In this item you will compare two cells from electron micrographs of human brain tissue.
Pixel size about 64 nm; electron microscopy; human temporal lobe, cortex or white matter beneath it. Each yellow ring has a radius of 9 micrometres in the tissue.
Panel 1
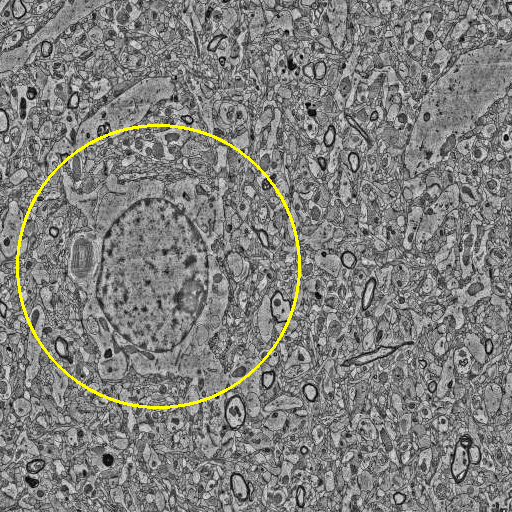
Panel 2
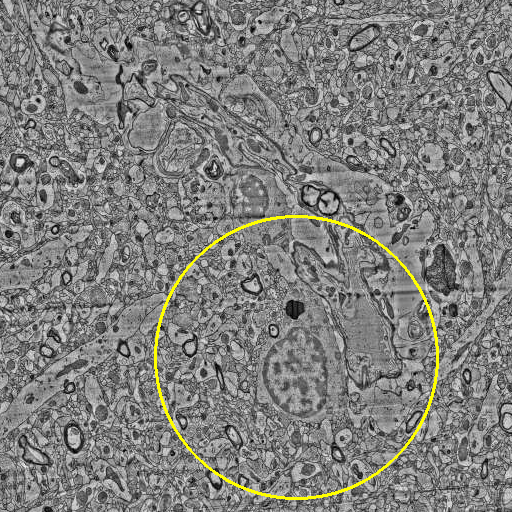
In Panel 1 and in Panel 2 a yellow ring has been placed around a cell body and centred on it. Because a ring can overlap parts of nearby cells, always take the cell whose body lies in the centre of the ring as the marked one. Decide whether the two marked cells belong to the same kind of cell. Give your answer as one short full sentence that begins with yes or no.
No, the two marked cells belong to two kinds of cell.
